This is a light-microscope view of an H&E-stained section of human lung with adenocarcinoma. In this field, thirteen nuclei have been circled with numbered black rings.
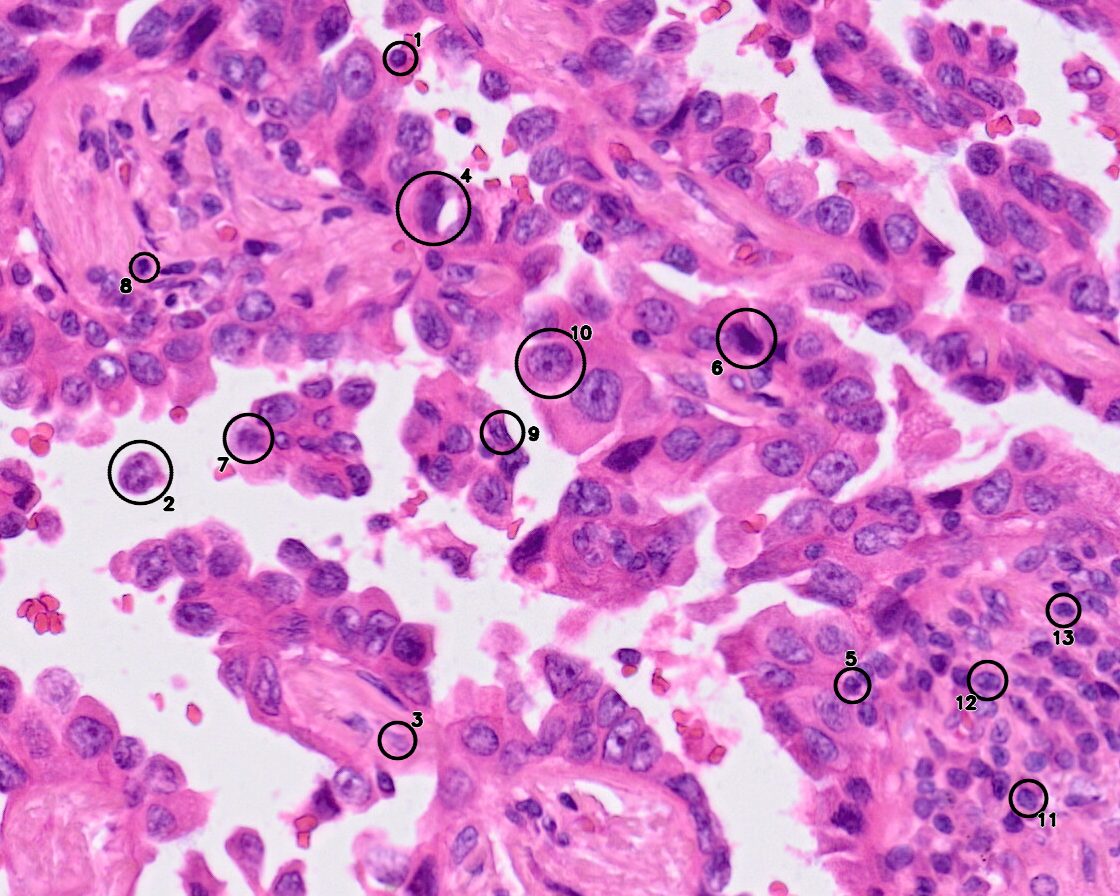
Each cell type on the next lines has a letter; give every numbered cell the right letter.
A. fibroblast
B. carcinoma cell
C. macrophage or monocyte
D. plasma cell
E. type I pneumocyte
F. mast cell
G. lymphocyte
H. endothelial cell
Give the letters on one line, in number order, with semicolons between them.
G; B; A; B; G; B; B; D; B; B; D; G; G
